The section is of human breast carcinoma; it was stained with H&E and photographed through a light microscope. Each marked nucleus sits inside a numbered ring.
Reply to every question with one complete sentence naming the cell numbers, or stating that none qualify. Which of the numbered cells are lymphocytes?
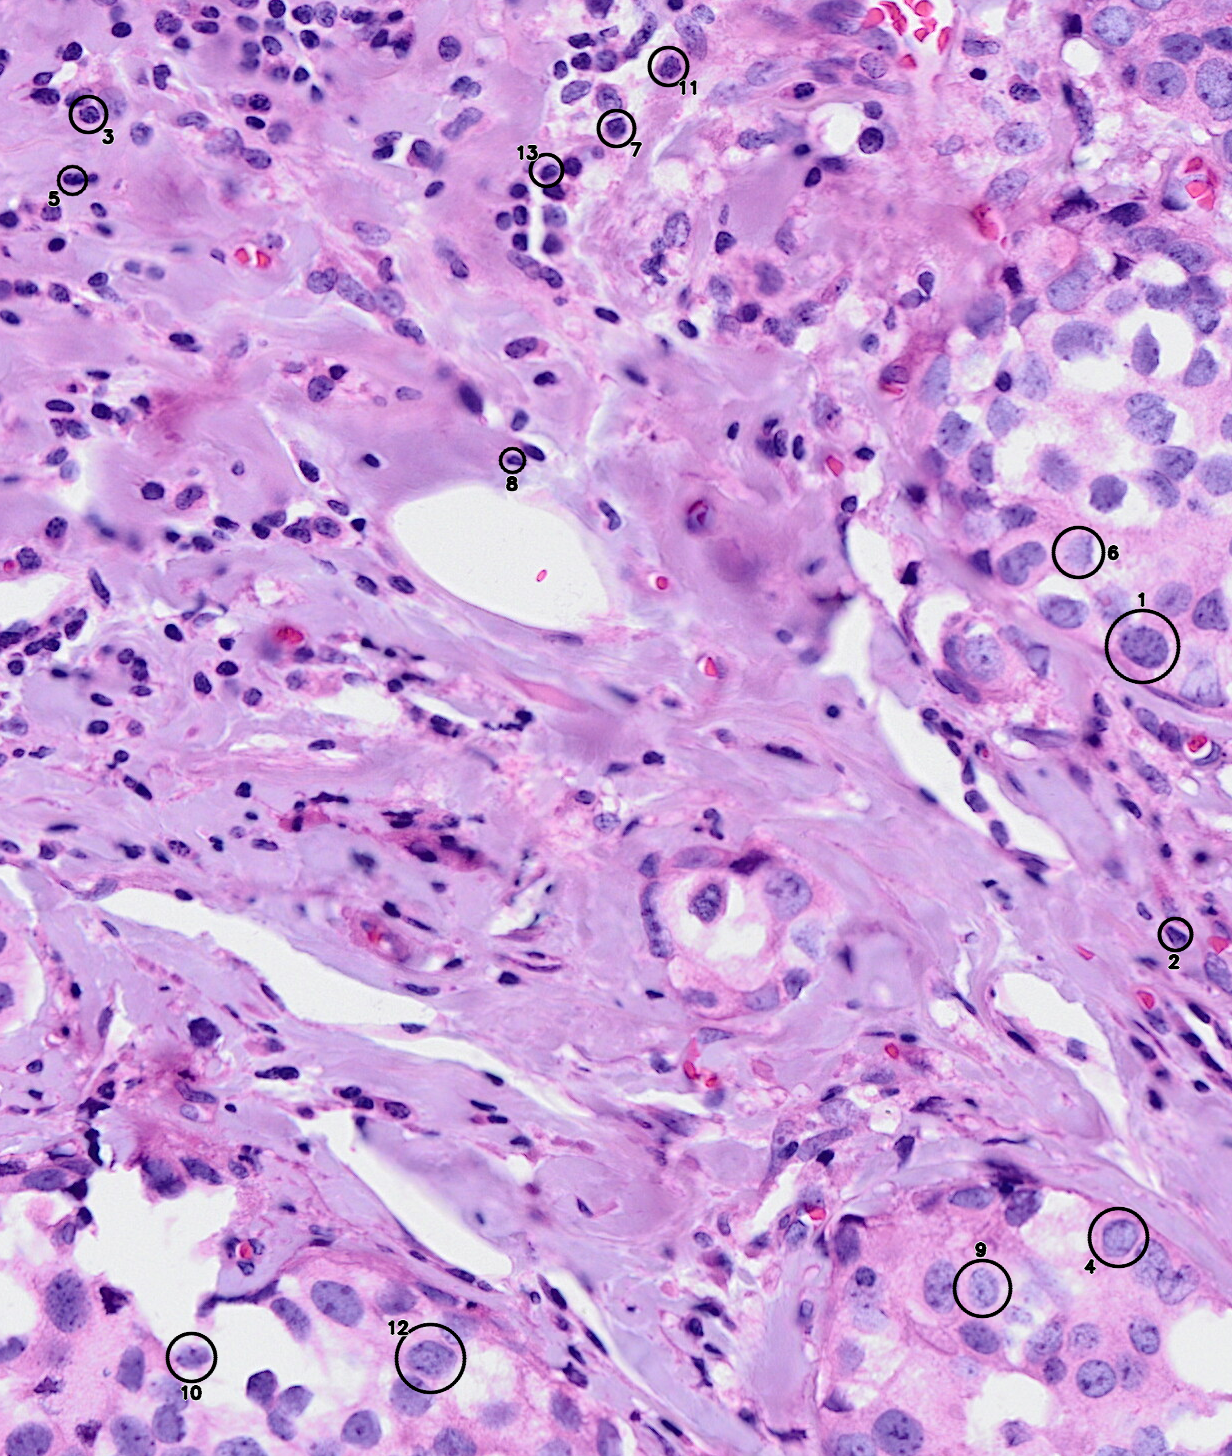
The cells with the number labels 2, 3, 5, 7, 8, 11 and 13 are lymphocytes.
